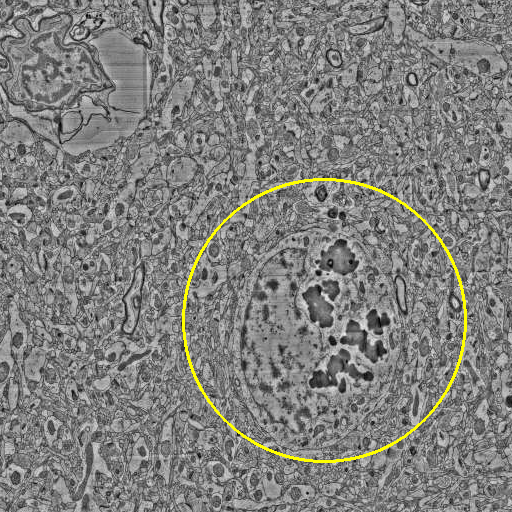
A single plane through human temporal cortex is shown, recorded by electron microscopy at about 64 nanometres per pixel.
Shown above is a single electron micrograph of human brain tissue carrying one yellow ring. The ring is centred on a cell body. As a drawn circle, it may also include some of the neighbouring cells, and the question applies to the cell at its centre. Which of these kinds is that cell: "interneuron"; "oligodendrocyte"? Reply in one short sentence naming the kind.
The cell marked by the ring is an interneuron.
